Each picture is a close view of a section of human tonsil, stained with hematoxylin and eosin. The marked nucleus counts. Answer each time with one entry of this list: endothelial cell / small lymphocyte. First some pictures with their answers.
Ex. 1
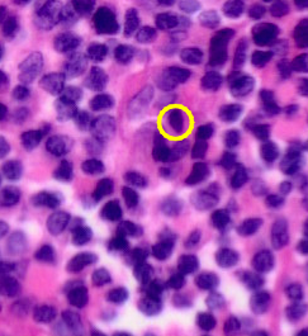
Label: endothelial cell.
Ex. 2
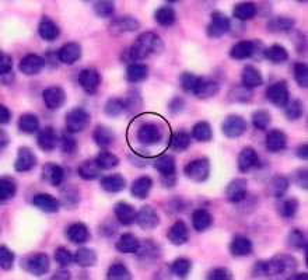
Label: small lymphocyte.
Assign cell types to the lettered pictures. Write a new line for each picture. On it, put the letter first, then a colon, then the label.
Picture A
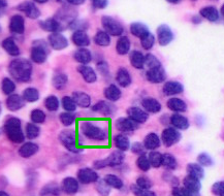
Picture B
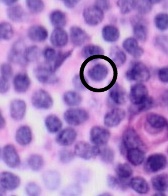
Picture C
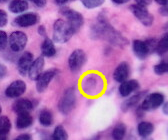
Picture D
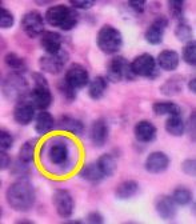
A: small lymphocyte.
B: small lymphocyte.
C: endothelial cell.
D: small lymphocyte.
